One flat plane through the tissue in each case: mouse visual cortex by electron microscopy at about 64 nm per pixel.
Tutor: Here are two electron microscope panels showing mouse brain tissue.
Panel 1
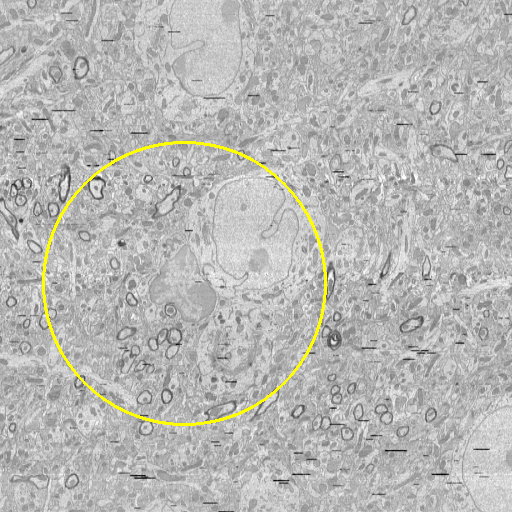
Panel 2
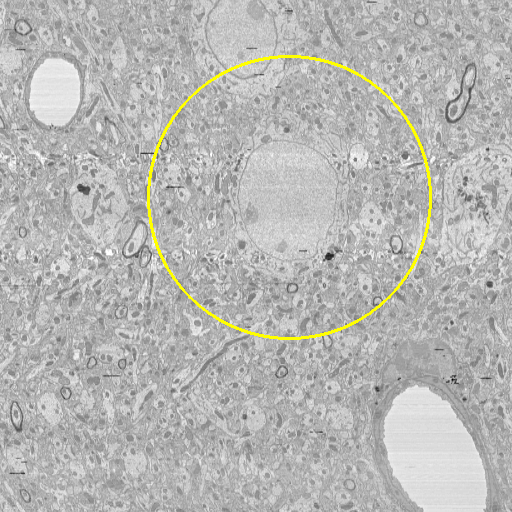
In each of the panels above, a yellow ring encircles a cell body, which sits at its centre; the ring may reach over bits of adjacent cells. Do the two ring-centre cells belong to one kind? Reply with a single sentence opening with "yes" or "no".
No, the two cells sitting at the ring centres in the panels belong to two kinds.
